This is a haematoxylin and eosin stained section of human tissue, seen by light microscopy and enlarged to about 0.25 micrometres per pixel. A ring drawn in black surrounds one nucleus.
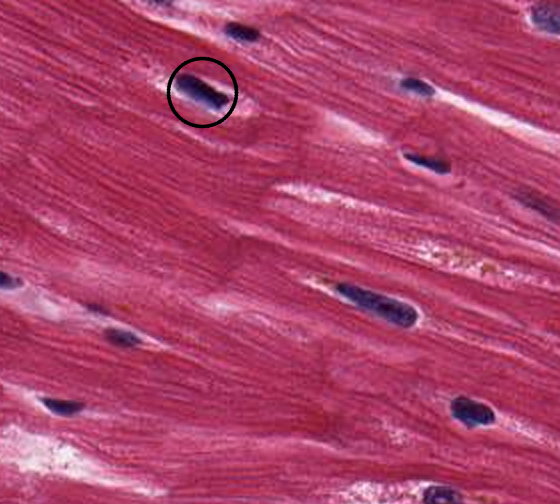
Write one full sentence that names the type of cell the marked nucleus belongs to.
The marked nucleus is part of a cardiomyocyte.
